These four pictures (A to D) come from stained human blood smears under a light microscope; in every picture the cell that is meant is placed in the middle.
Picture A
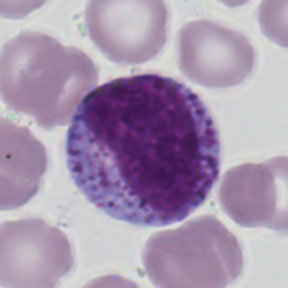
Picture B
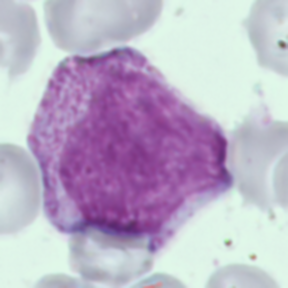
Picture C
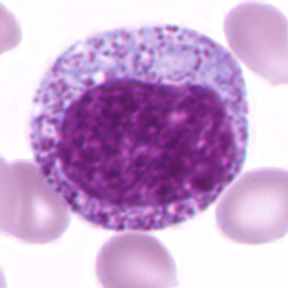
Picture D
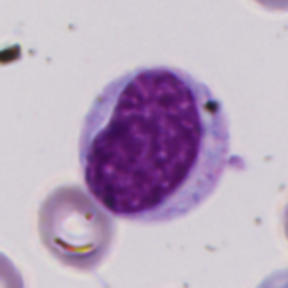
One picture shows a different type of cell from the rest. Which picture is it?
D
